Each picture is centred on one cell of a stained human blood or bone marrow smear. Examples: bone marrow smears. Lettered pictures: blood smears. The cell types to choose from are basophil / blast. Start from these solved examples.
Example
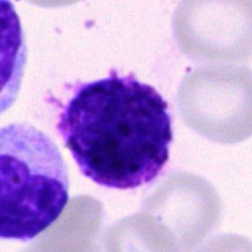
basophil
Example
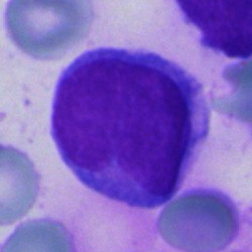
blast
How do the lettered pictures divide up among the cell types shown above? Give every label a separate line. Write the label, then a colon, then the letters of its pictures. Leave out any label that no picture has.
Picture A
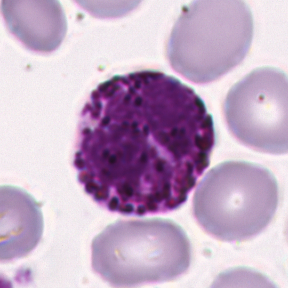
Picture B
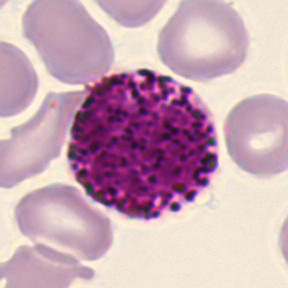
basophil: A, B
